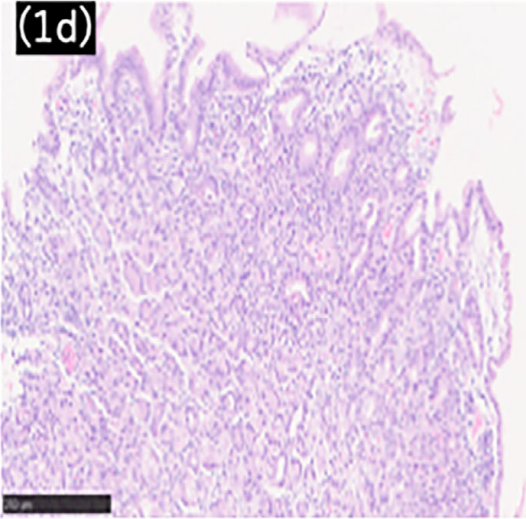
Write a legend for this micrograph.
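This is a section of gastrointestinal mucosa in which the lamina propria is heavily infiltrated by inflammatory cells, seen as a dense sheet of small, dark purple nuclei. A pale pink columnar surface epithelium lines the irregular top edge of the mucosa. The crowding of inflammatory cells pushes the glands apart and blurs the normal orderly mucosal architecture.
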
